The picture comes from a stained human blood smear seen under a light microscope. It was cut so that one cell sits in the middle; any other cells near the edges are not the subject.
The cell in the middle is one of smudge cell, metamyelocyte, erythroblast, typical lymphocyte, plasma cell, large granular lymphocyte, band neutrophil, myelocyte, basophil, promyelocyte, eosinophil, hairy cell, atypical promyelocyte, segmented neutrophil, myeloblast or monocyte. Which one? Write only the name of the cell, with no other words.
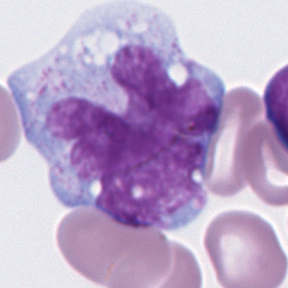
monocyte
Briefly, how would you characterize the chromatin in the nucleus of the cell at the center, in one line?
The chromatin pattern is fine and free of coarse clumps.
